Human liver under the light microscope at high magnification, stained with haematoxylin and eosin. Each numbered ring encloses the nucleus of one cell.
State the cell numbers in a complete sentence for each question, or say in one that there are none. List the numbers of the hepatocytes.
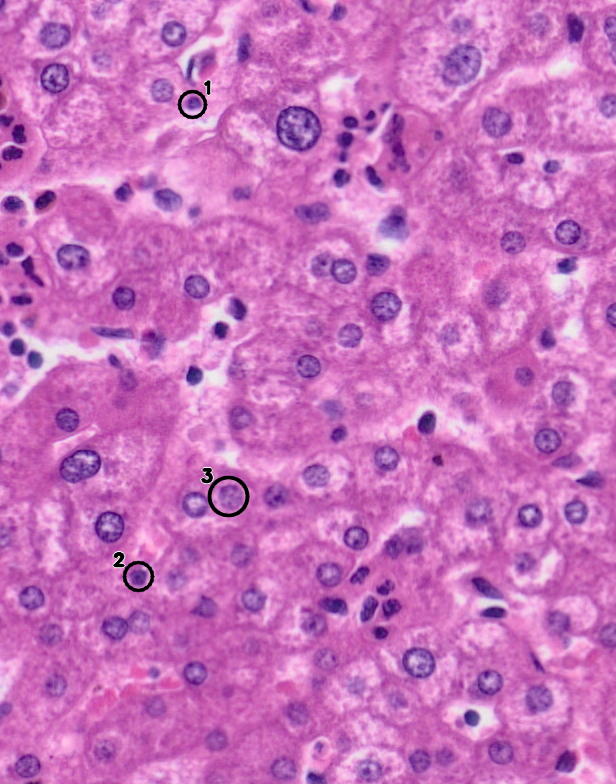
Being a hepatocyte is true of cell 3 and of no other numbered cell.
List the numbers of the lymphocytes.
Cell 1 is a lymphocyte, while all remaining marked cells are of other types.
